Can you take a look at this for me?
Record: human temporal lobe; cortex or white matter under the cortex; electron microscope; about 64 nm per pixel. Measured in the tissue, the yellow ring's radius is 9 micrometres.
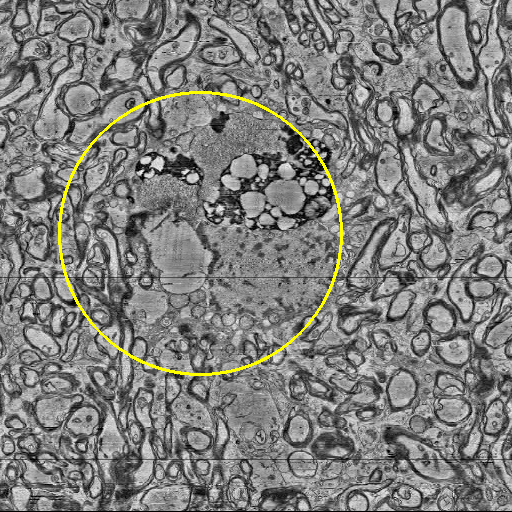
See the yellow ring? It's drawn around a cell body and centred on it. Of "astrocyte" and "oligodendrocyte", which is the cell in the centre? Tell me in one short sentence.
The one in the centre is an astrocyte.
